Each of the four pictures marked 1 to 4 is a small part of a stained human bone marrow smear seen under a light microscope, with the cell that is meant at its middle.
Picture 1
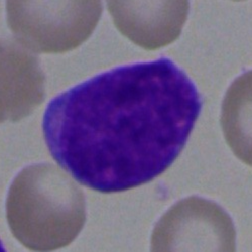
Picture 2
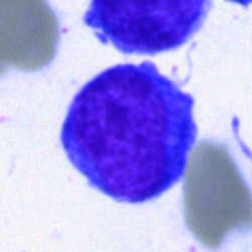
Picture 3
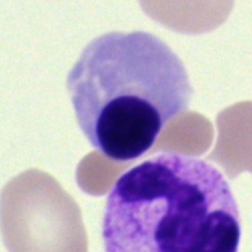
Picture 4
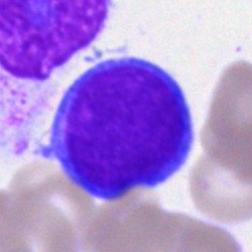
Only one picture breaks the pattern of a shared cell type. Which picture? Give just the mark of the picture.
3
